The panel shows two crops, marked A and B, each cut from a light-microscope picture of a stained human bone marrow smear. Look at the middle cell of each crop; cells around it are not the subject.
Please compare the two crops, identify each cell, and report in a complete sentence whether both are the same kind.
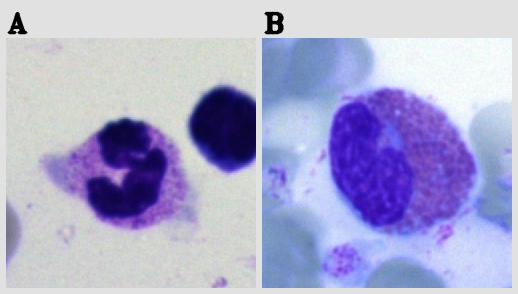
No, crop A displays a segmented neutrophil and crop B displays an eosinophil.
